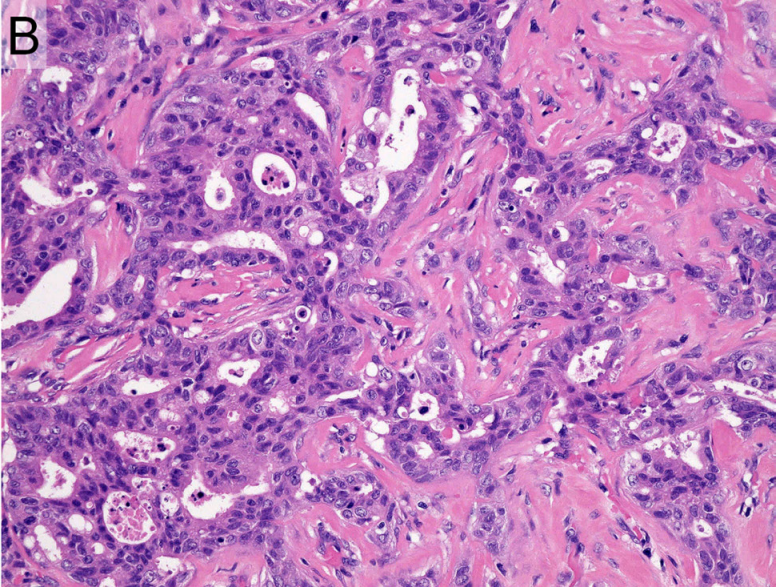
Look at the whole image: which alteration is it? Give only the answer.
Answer: Scirrhous pattern.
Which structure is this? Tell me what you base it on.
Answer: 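Tubular and cribriform structures. Tumour cells form small glands with round open lumens. Some cell clusters contain several punched-out spaces.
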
